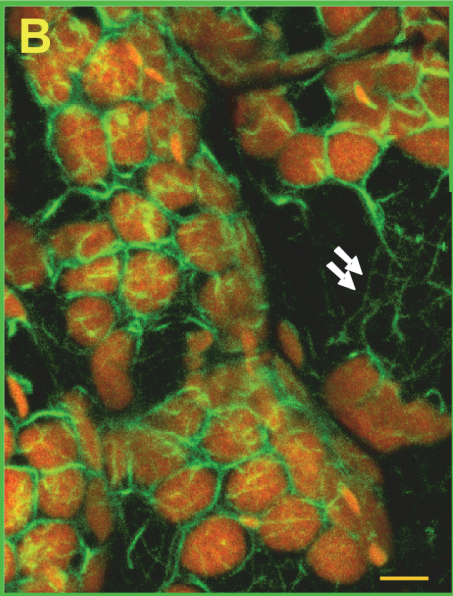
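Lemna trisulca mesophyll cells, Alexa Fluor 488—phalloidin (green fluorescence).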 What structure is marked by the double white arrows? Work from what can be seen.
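Fine branching green strands lie in a dark area away from the red bodies. The strands vary in thickness.
Network of microfilament bundles.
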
